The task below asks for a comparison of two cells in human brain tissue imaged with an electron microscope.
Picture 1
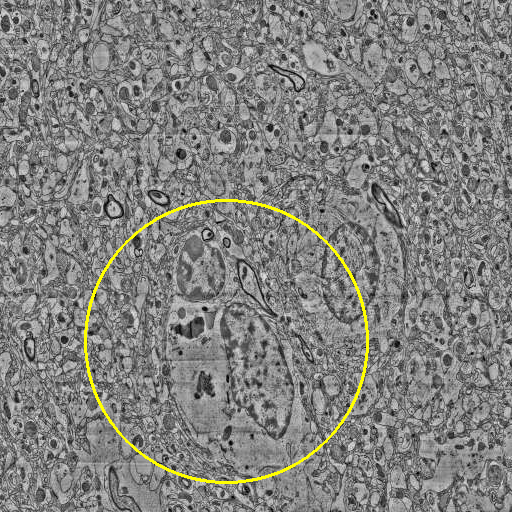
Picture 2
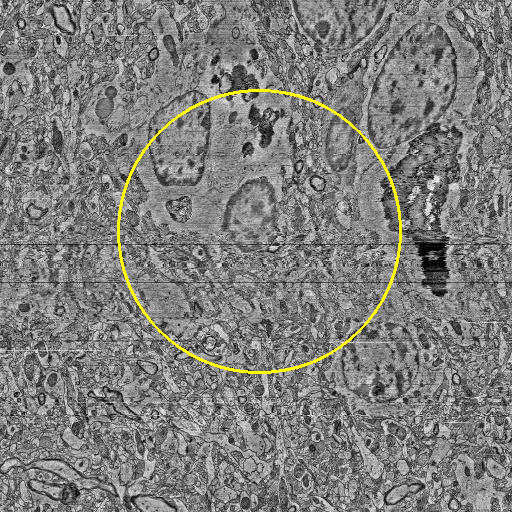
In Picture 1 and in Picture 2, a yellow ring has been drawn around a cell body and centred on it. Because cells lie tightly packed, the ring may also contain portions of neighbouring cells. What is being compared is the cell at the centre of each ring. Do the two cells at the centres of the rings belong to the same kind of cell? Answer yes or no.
no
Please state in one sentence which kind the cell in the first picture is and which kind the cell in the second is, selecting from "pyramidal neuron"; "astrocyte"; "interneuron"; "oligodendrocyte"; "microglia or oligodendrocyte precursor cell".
The first ringed cell is an astrocyte, the second ringed cell an oligodendrocyte.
